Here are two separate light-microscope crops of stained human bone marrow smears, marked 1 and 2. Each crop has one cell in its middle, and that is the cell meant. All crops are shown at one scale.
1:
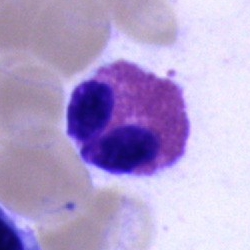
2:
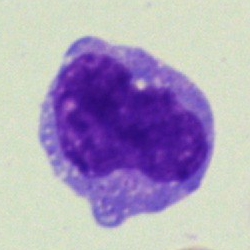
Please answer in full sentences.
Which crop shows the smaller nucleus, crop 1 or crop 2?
Crop 1 shows the smaller nucleus, since that in crop 2 covers about 3 times as much area.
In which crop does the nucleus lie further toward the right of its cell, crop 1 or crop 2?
In crop 2 the nucleus is shifted more toward the right.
